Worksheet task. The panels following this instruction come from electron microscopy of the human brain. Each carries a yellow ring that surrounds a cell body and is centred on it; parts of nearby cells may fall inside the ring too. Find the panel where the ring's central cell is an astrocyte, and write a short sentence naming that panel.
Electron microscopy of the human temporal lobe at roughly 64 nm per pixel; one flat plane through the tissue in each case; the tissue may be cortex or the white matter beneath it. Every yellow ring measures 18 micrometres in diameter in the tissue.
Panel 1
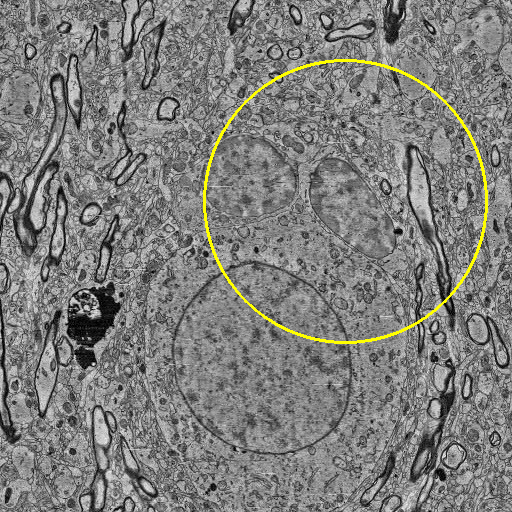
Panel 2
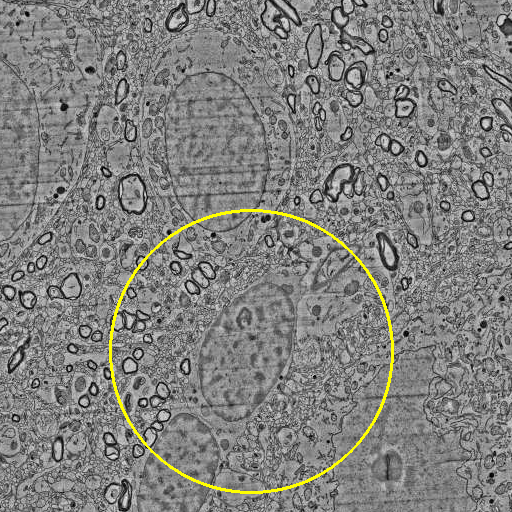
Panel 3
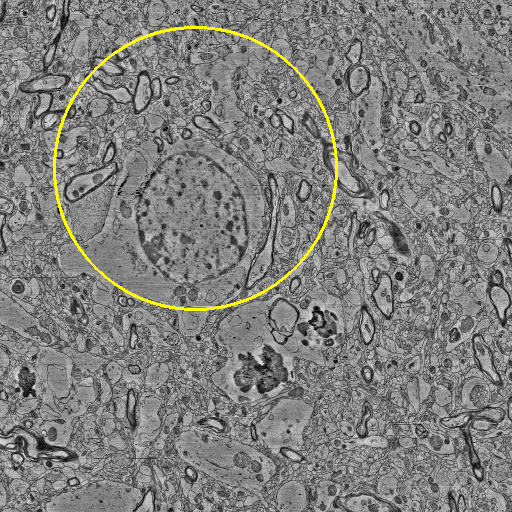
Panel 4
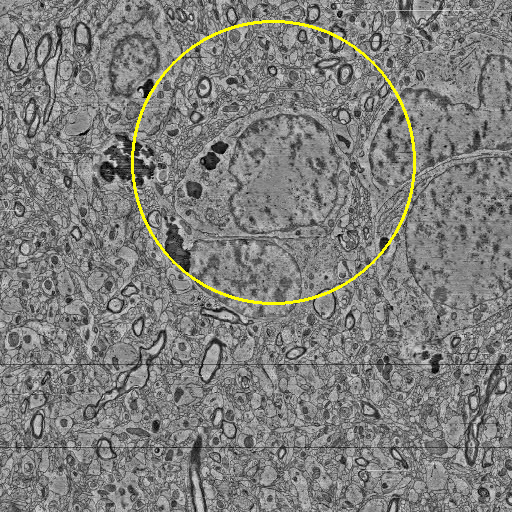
The cell sought is in Panel 3.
